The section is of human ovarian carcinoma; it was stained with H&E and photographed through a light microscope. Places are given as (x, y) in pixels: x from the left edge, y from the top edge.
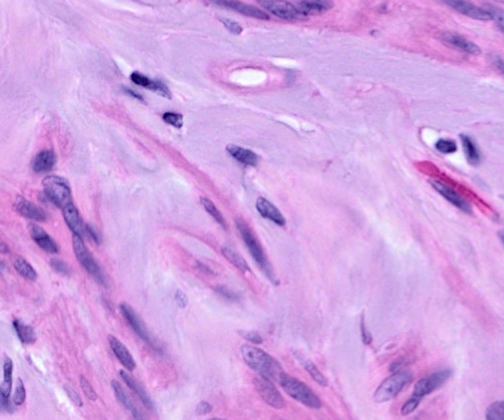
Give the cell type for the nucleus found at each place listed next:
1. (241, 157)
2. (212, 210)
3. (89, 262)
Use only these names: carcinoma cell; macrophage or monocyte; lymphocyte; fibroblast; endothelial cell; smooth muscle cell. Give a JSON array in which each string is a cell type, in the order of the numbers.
["fibroblast", "smooth muscle cell", "smooth muscle cell"]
